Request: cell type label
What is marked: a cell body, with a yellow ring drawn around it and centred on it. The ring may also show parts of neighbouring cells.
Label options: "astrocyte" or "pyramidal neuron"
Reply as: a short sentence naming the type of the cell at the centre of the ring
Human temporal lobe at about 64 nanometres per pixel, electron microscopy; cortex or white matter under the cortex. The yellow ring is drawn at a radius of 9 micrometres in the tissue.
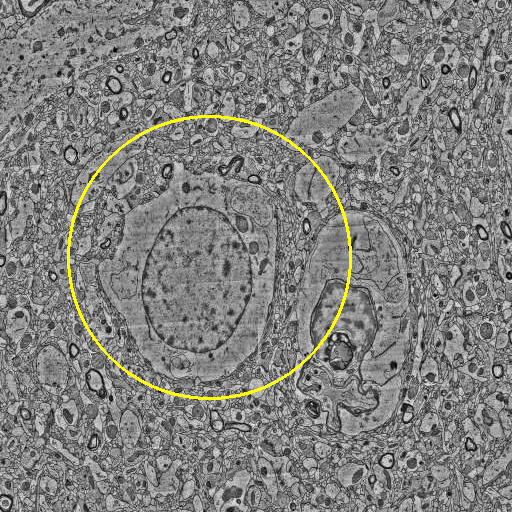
The marked cell body is that of an astrocyte.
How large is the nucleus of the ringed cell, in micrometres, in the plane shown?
Roughly 9 by 7 micrometres is the size of the nucleus in this plane.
